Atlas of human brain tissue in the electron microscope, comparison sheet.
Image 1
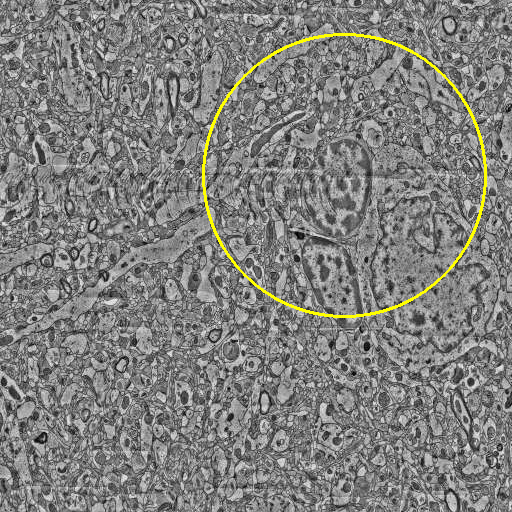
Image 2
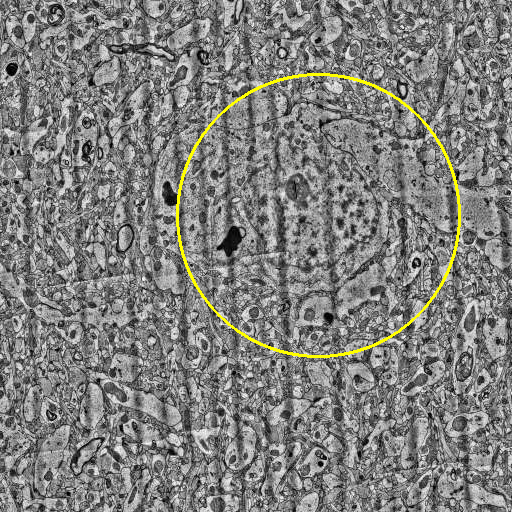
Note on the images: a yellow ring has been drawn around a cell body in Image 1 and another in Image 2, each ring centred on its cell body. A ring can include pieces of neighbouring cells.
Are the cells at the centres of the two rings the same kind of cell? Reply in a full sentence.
No, the two cells are of two kinds.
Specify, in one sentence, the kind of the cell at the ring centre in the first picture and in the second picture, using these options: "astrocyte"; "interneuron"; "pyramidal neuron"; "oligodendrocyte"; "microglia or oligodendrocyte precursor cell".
So the first is an oligodendrocyte, the second an interneuron.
